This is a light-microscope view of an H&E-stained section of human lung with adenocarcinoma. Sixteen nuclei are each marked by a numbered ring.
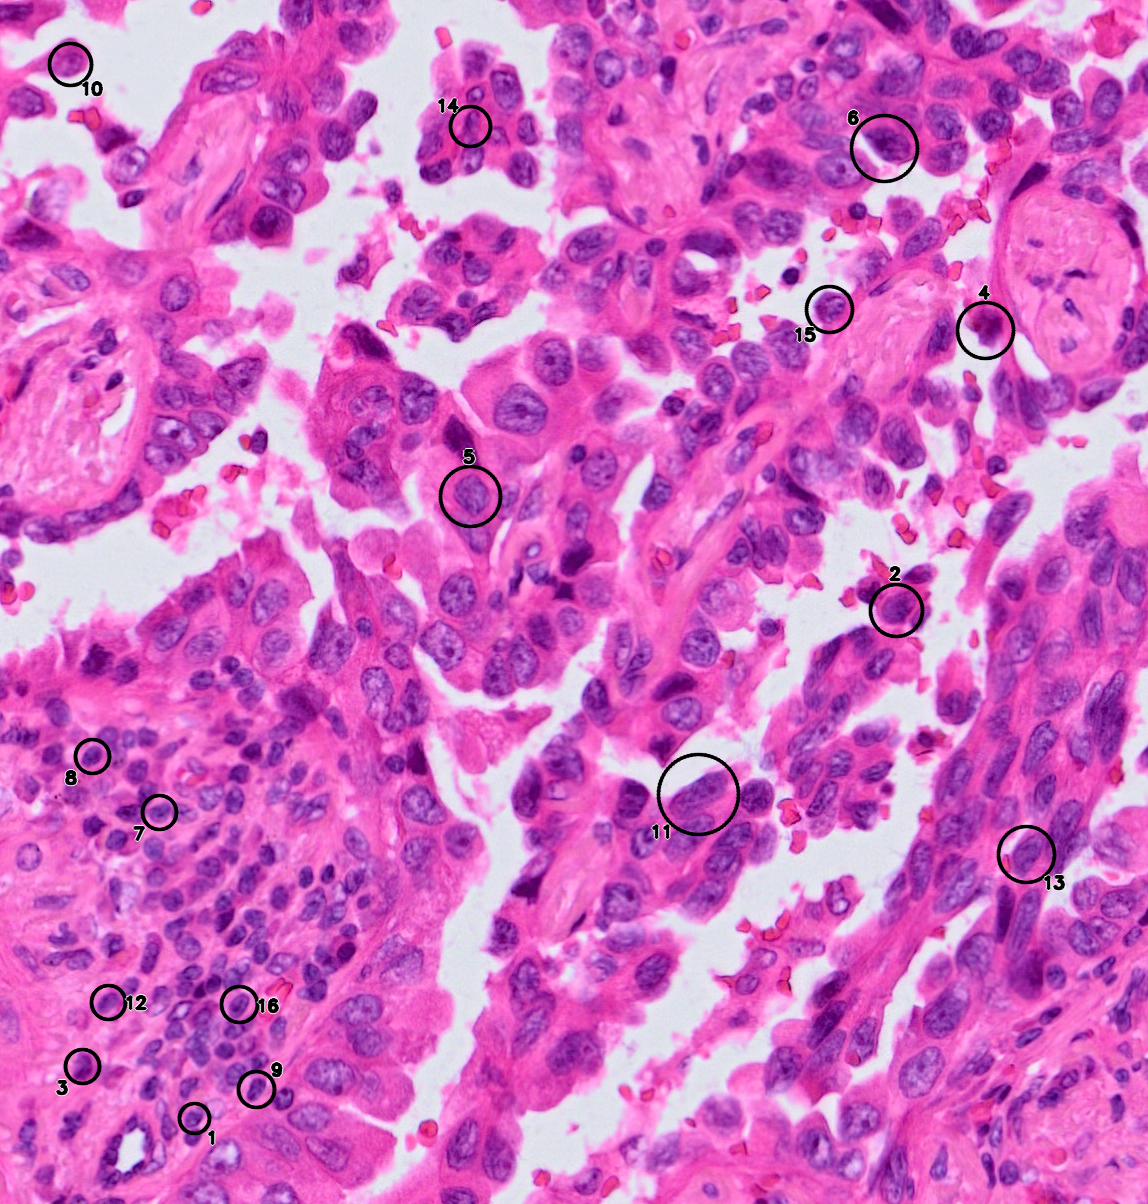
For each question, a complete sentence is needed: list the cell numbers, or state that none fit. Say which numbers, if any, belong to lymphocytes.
Cells numbered 1, 7, 8, 9 and 16 belong to the group of lymphocytes.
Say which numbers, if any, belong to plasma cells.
The identity of cells 3 and 12: they are plasma cells.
